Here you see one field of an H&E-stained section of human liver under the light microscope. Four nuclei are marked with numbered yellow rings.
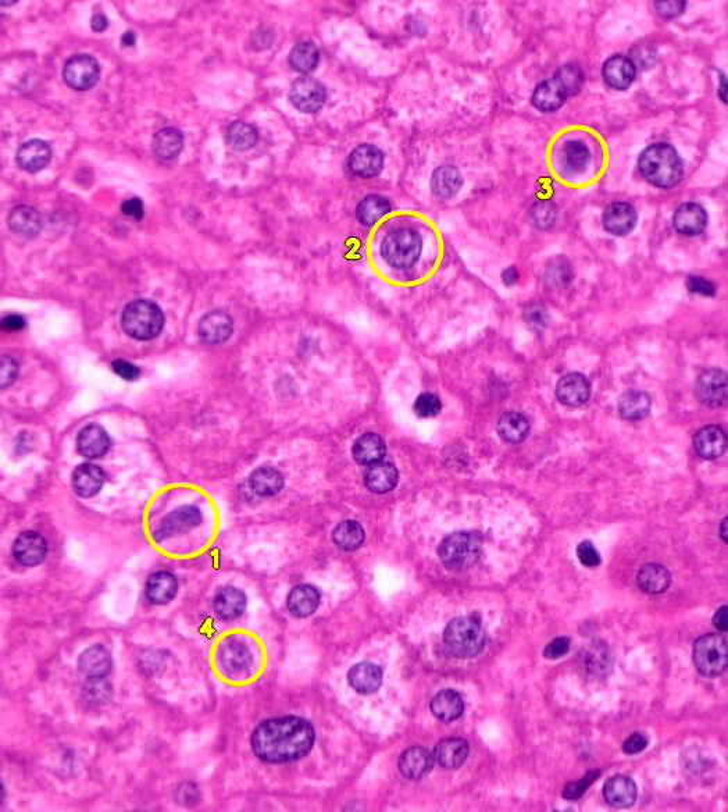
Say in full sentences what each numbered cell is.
Cell 1 is a Kupffer cell. Cells 2 and 4 are hepatocytes. Cell 3 is an endothelial cell.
